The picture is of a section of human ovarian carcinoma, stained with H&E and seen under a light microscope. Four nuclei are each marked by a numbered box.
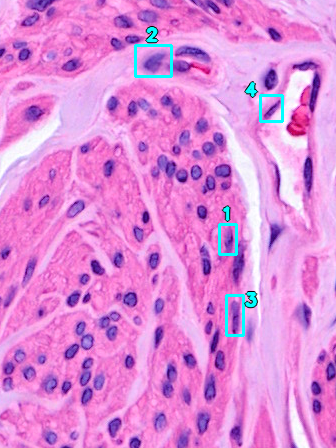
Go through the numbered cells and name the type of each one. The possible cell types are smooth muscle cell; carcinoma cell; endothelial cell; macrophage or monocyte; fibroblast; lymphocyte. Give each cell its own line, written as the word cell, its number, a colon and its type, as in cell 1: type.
cell 1: smooth muscle cell
cell 2: smooth muscle cell
cell 3: smooth muscle cell
cell 4: endothelial cell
